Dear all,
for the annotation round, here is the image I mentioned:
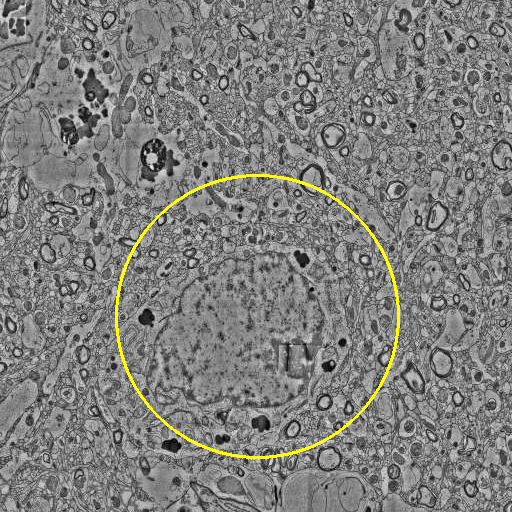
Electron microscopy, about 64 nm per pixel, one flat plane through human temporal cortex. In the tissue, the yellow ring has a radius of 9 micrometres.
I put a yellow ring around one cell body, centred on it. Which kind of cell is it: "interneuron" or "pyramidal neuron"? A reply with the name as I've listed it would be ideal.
interneuron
